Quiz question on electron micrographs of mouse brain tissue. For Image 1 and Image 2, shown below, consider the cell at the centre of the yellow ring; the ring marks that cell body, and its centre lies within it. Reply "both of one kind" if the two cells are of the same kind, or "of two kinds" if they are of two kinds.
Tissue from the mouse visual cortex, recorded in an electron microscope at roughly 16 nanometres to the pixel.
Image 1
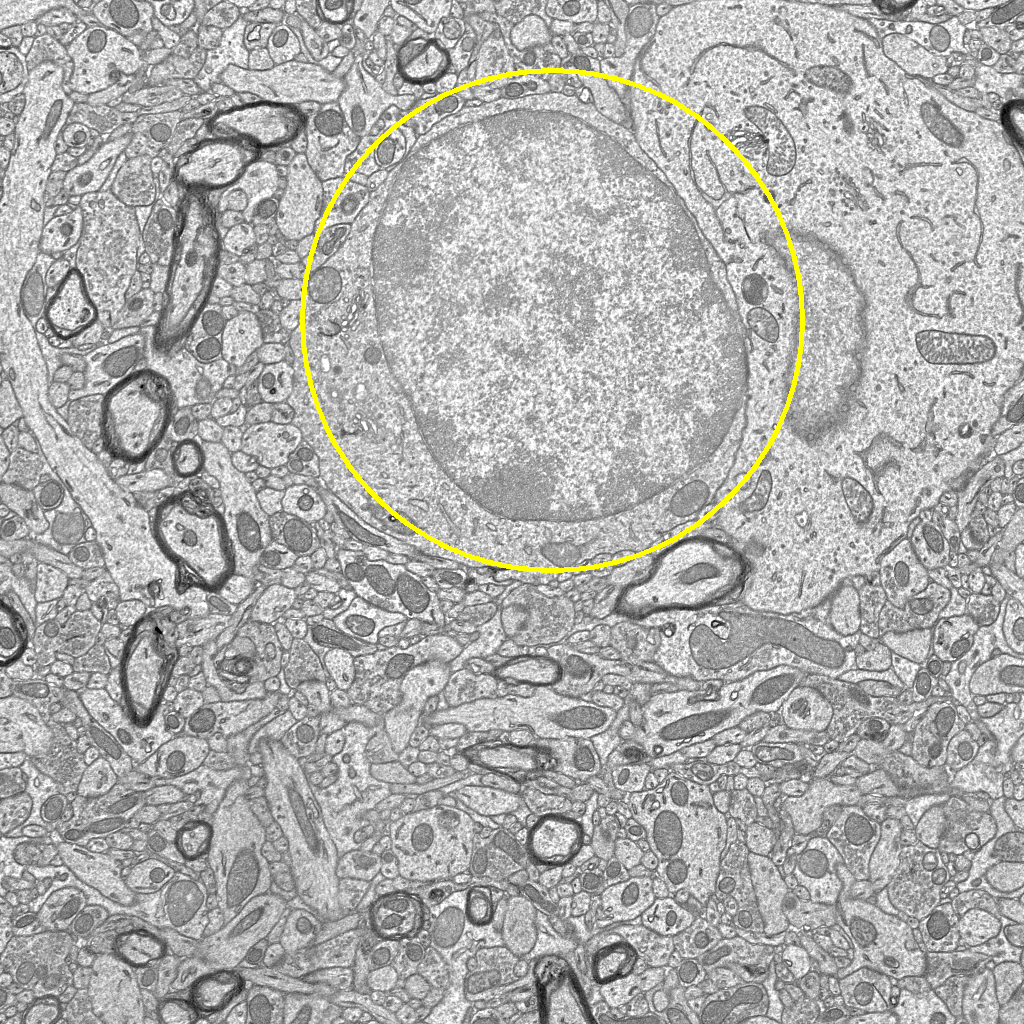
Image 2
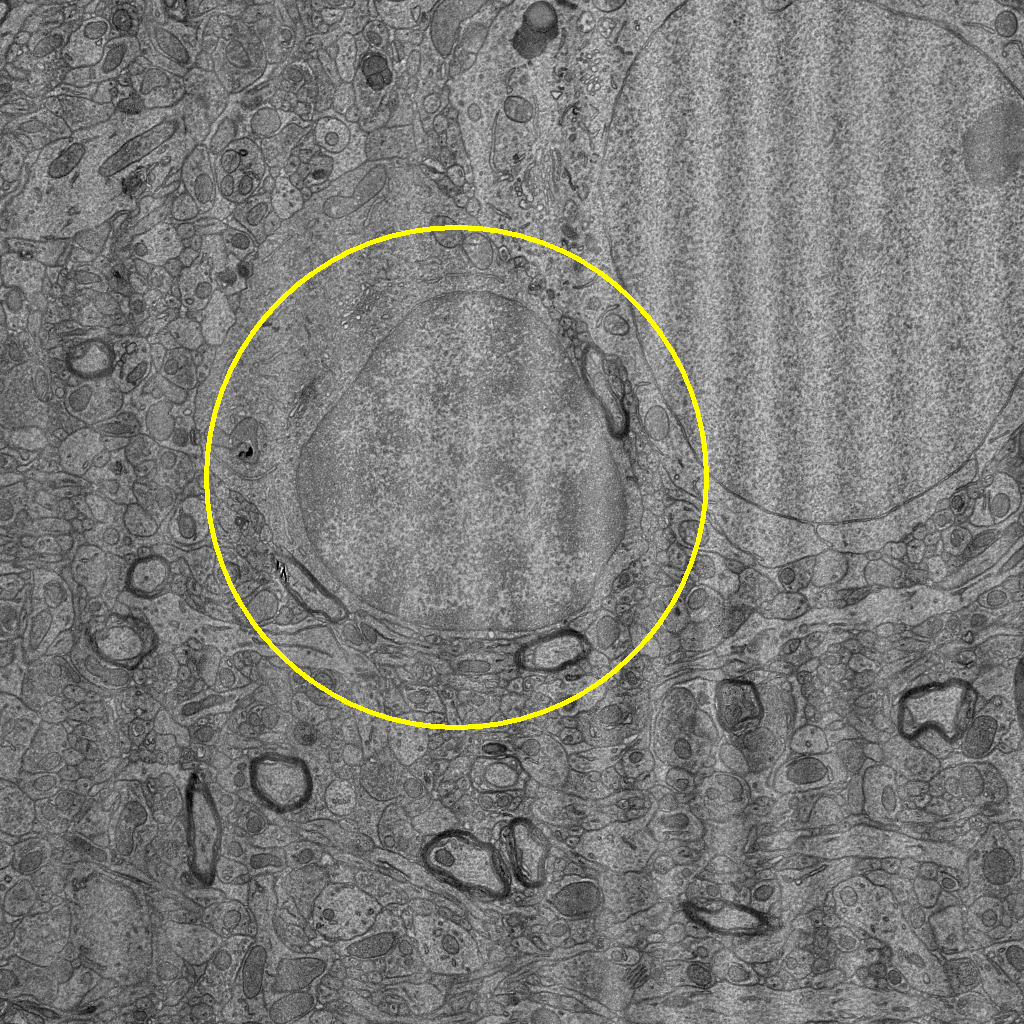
both of one kind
